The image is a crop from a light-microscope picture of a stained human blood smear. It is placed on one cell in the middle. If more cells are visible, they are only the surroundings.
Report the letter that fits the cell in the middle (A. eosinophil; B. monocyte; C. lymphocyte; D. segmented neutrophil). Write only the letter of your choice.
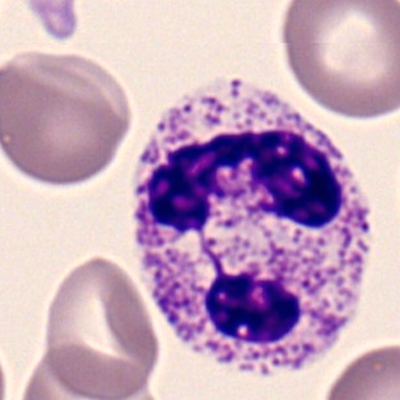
D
